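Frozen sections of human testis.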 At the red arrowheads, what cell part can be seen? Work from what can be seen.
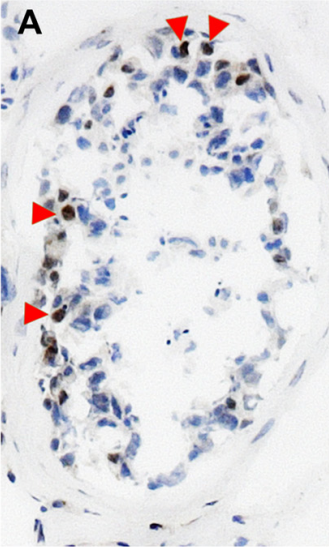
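Nuclei. The arrowheads point at round dark bodies within cells along the tubule wall. The marked bodies are brown overlying blue.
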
